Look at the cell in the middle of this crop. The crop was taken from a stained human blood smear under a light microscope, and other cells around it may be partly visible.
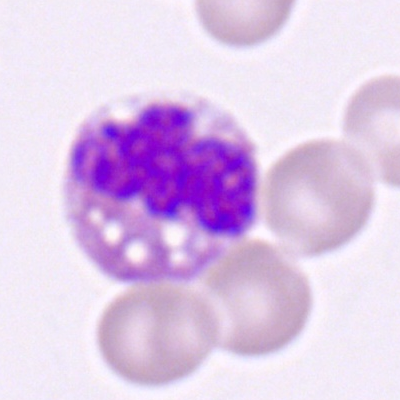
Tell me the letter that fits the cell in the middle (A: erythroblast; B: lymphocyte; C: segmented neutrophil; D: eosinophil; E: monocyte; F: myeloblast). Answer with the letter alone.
D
